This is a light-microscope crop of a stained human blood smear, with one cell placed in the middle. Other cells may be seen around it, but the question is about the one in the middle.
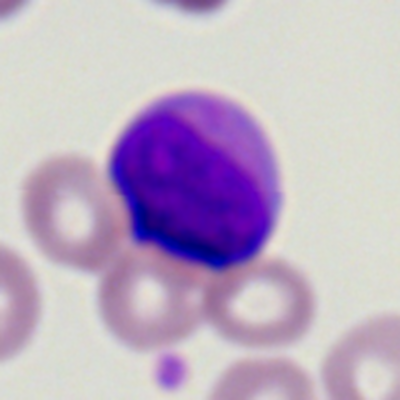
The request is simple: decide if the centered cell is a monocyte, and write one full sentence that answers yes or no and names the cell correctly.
No, the cell in the centre is to be called a myeloblast instead of a monocyte.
